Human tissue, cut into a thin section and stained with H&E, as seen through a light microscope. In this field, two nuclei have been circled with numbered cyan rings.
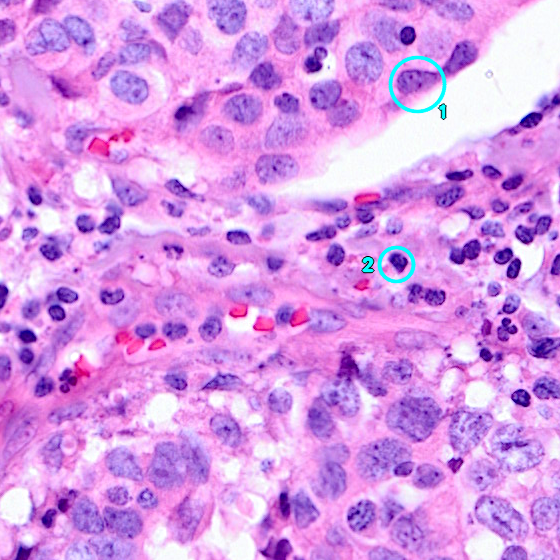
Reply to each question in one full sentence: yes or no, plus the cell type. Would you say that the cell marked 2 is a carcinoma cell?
No, the cell labelled number 2 is not a carcinoma cell; it is a lymphocyte.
